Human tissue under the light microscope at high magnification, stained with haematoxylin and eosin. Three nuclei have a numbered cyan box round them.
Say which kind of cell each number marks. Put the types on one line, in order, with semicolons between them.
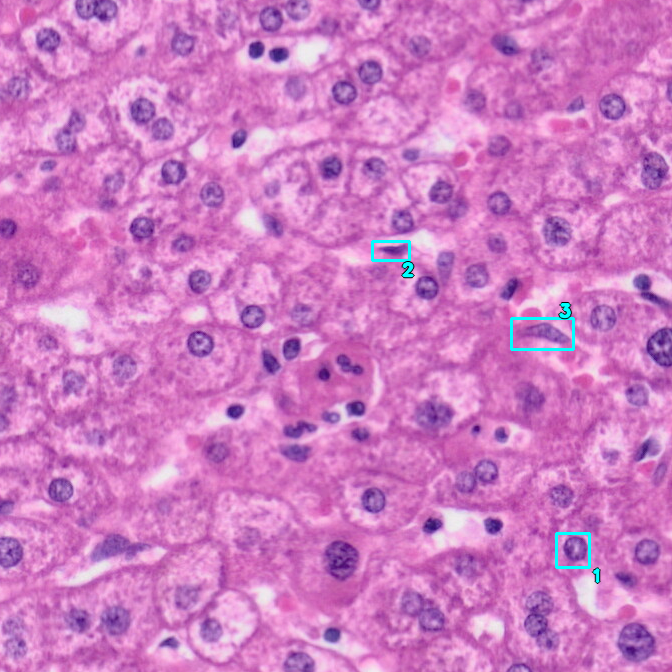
hepatocyte; endothelial cell; Kupffer cell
